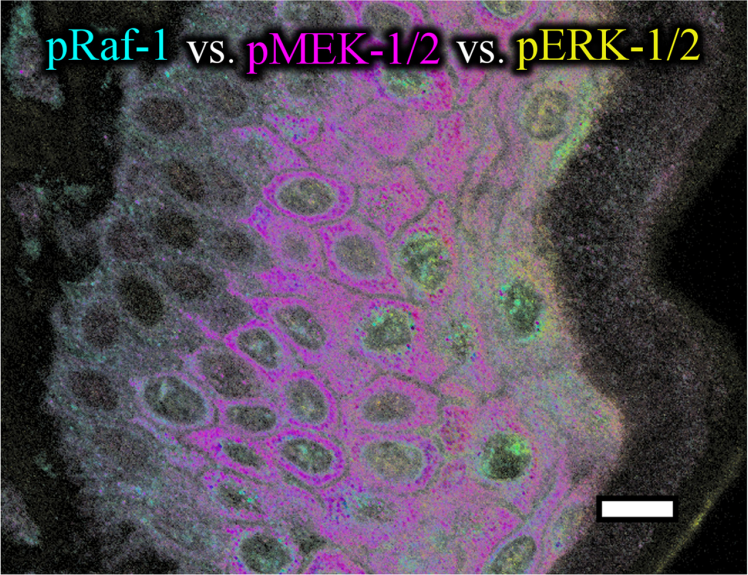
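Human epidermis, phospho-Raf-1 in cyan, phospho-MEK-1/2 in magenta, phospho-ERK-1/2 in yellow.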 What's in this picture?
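The cytoplasm of the cells in the middle of the sheet is strongly magenta, outlining the darker nuclei, while the cells toward the opposite side are dimmer and more grey-cyan. Toward the outer border the colour shifts to yellow-green, and several nuclei there glow yellow-green. Beyond that border lies a dark area with no cells.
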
